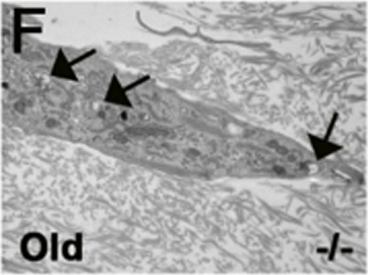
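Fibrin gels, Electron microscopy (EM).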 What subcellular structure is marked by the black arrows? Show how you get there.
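The arrows point to small, pale, round membrane-bound spaces within the cytoplasm of a spindle-shaped cell. The marked spaces are scattered along the length of the cell. The answer: vesicles.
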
